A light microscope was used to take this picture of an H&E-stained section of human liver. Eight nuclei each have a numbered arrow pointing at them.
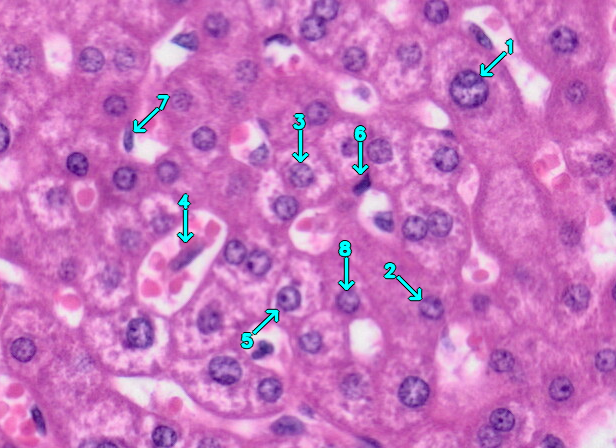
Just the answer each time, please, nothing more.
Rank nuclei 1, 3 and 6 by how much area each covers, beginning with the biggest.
1, 3, 6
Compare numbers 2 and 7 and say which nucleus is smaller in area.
7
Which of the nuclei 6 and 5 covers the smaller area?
6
